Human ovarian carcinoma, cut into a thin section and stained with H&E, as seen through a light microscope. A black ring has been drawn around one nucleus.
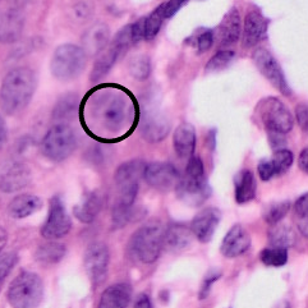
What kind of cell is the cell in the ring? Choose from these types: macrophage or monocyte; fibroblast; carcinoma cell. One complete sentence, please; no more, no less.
It is as a carcinoma cell that the cell in the ring is classified.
